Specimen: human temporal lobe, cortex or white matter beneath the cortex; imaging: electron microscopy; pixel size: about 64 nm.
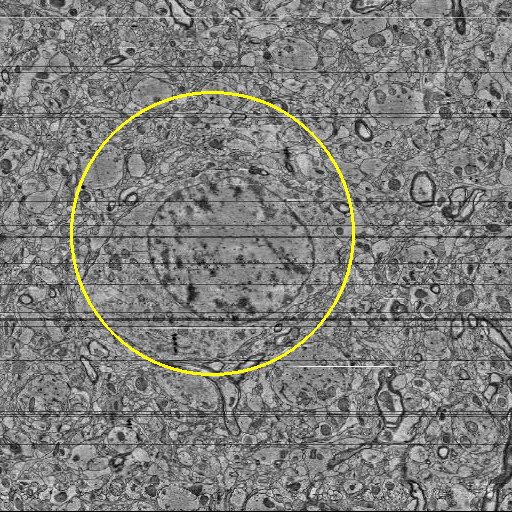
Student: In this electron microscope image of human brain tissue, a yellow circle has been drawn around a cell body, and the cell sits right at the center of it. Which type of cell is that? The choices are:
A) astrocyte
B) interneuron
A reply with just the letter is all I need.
B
